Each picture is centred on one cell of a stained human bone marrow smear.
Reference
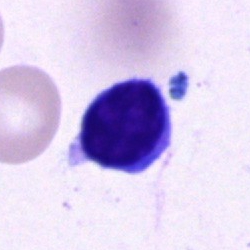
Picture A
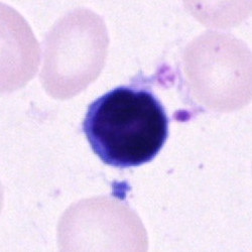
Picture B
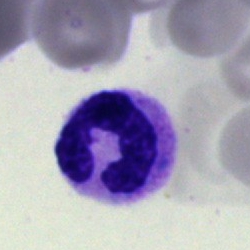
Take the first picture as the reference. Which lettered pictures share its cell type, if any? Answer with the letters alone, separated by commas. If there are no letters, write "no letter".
A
